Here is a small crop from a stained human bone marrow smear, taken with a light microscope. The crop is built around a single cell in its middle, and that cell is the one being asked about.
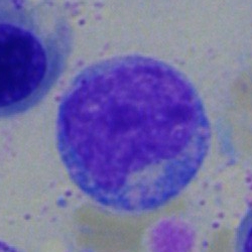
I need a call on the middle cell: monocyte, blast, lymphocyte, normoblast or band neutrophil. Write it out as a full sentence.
The crop centres on a single cell, and that cell is a monocyte.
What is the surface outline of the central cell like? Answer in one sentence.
Edge check done: smooth outline, no projections present.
